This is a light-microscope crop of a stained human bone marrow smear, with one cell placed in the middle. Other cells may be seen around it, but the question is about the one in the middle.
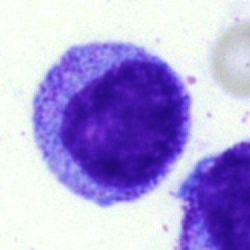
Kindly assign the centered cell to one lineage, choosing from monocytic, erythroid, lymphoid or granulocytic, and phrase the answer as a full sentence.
The cell at the center of the crop has granulocytic lineage.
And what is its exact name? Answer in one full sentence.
The centered cell in this crop is a myelocyte.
